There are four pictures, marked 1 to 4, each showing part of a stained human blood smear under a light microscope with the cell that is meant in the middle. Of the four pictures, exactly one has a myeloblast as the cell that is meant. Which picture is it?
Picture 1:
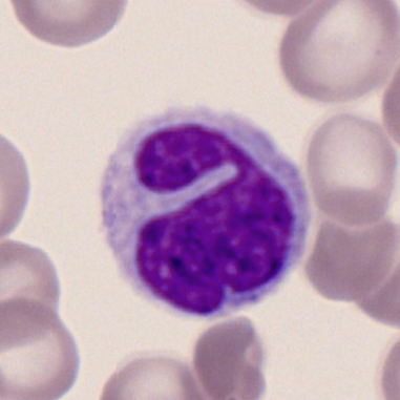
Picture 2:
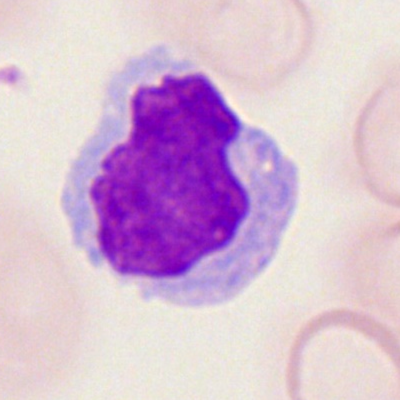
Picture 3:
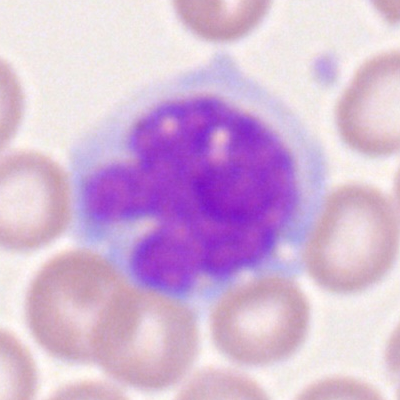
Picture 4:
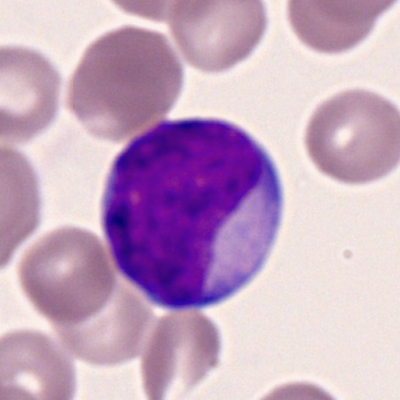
4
